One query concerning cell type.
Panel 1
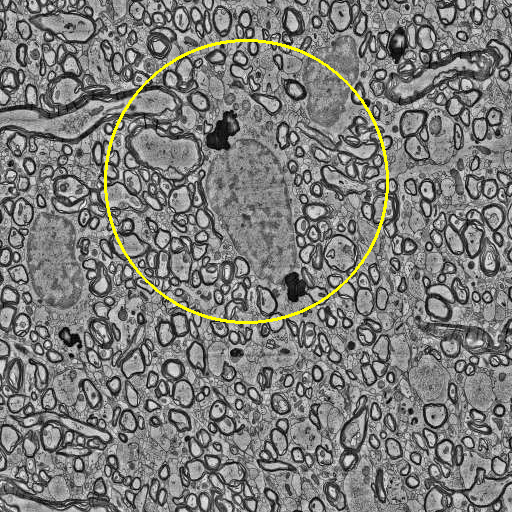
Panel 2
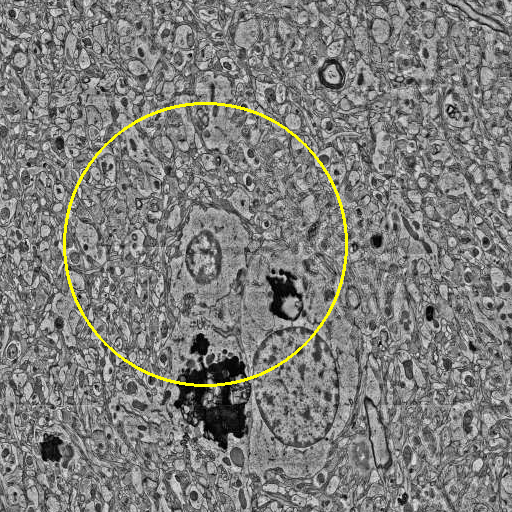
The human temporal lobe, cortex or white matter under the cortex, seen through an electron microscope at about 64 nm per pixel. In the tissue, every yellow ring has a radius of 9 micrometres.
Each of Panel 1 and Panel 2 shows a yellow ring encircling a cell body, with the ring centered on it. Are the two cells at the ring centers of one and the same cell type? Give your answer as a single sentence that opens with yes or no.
No, the cell centered in Panel 1 and the one in Panel 2 are of two types.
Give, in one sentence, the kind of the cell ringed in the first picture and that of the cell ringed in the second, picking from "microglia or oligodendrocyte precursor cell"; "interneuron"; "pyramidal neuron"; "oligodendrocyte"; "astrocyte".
For the first picture it is an oligodendrocyte; for the second, an astrocyte.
